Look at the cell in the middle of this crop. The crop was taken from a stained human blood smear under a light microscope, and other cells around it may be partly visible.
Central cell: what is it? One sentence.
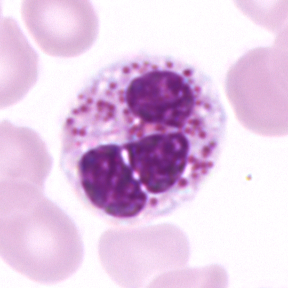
Within this crop, an eosinophil occupies the central position.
